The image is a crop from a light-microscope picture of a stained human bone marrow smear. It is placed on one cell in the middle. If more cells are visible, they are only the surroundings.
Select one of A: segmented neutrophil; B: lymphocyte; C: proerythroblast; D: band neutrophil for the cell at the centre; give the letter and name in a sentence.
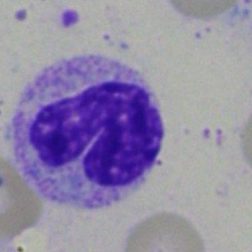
Seen at the centre of the crop is a band neutrophil, so option D is correct.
